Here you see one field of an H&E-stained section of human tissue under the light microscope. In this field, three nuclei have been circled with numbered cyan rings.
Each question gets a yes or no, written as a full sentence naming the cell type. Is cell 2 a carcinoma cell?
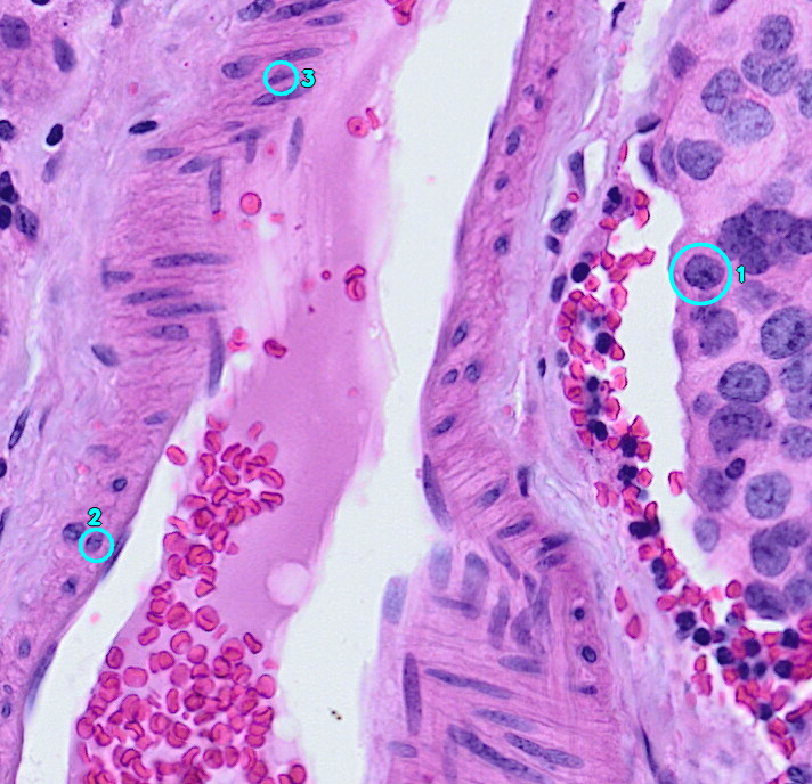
No, number 2 identifies an endothelial cell, not a carcinoma cell.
